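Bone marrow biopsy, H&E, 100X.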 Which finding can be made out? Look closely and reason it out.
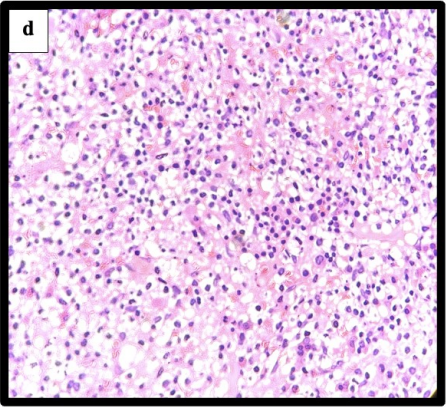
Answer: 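Fried egg appearance. Dark round nuclei each surrounded by a halo of clear cytoplasm. Cells are spaced apart rather than tightly packed.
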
